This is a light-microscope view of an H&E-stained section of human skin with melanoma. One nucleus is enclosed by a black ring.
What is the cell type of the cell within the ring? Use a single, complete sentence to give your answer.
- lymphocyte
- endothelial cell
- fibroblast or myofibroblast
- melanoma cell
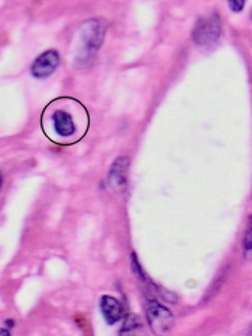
In cellular terms, the cell within the ring is a lymphocyte.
